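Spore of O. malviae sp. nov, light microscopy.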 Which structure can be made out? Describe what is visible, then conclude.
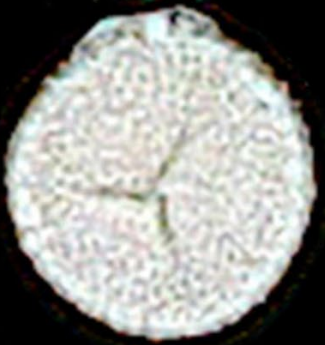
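A Y-shaped three-armed line lies near the centre of the round spore. That points to this answer: triradiate mark.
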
